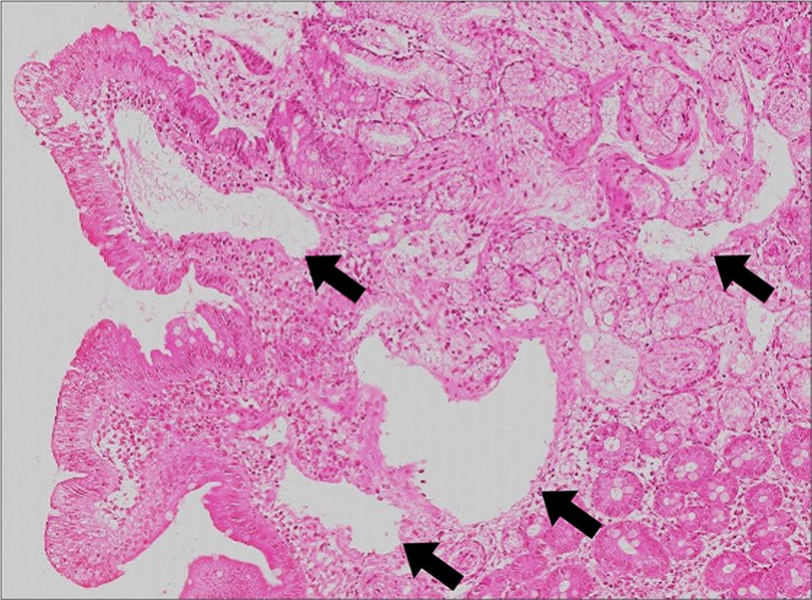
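This is duodenal mucosa showing markedly dilated lymphatic vessels. The villi are covered by a tall columnar epithelium with basal nuclei and scattered pale goblet cells. Within the villous cores and the underlying tissue there are several large, irregular, empty-appearing channels. They are lined only by a thin, flattened lining and contain no red cells. These channels widen the villi and push the surrounding stroma aside. Deeper in the section, glands cut in cross-section form rounded profiles with central lumina. The intervening stroma holds scattered small cells.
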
